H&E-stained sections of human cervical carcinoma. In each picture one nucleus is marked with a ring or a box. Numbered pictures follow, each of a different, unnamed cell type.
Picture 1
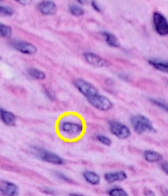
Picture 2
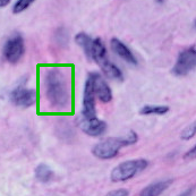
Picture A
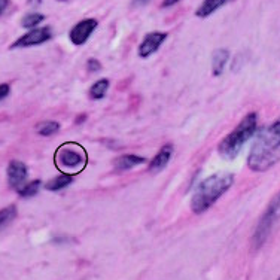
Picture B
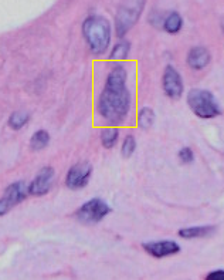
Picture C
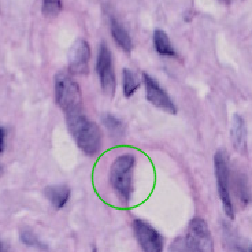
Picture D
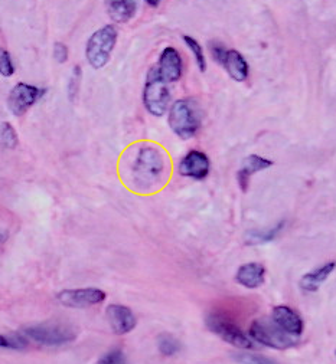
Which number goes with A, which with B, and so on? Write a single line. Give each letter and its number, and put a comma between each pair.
A 1, B 1, C 2, D 2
